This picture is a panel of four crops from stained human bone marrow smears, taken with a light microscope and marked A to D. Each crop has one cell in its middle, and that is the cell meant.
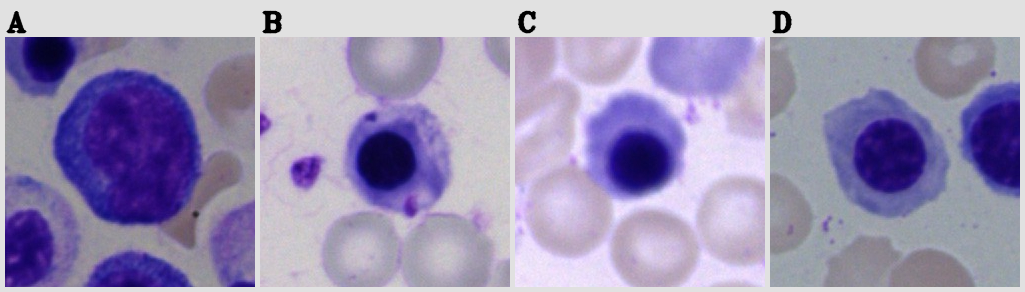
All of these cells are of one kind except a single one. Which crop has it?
A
